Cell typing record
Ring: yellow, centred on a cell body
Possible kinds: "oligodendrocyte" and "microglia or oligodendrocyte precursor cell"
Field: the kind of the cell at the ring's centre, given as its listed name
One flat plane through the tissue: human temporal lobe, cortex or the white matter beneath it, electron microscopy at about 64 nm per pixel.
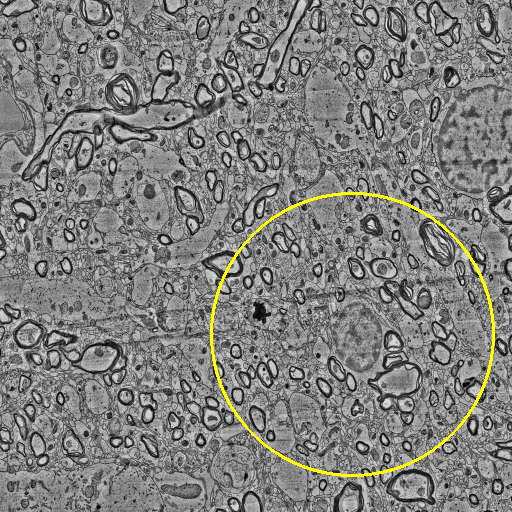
oligodendrocyte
